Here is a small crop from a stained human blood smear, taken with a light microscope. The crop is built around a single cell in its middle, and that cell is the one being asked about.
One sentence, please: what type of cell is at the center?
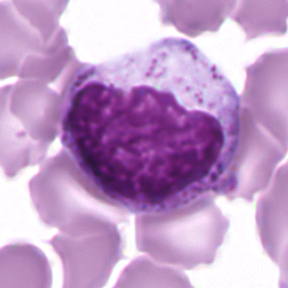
Framed in the middle of the crop is a myelocyte.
